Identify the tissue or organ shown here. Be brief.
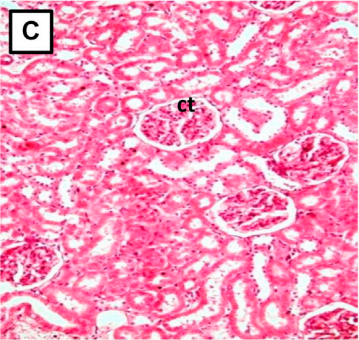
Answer: Kidney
